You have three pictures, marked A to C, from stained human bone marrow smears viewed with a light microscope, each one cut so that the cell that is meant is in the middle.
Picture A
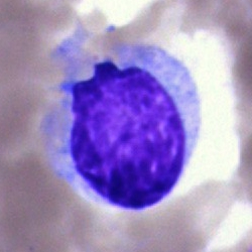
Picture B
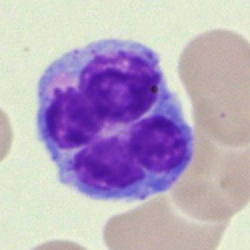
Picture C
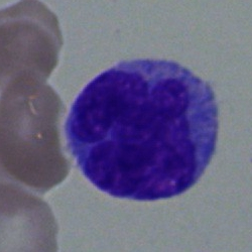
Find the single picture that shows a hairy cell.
A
